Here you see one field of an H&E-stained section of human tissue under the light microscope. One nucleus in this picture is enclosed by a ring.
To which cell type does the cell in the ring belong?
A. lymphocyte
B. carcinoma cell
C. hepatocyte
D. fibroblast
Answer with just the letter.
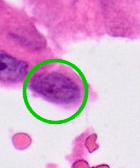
B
